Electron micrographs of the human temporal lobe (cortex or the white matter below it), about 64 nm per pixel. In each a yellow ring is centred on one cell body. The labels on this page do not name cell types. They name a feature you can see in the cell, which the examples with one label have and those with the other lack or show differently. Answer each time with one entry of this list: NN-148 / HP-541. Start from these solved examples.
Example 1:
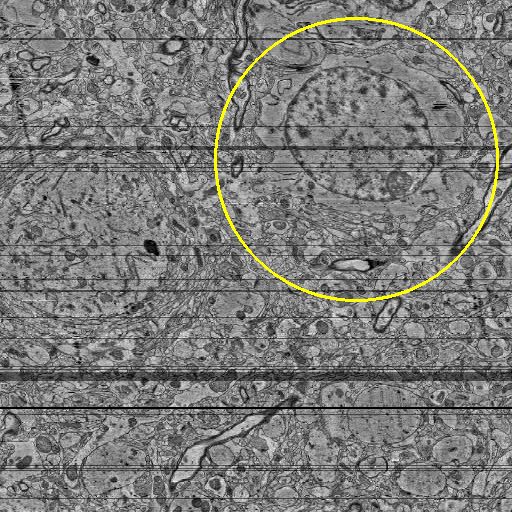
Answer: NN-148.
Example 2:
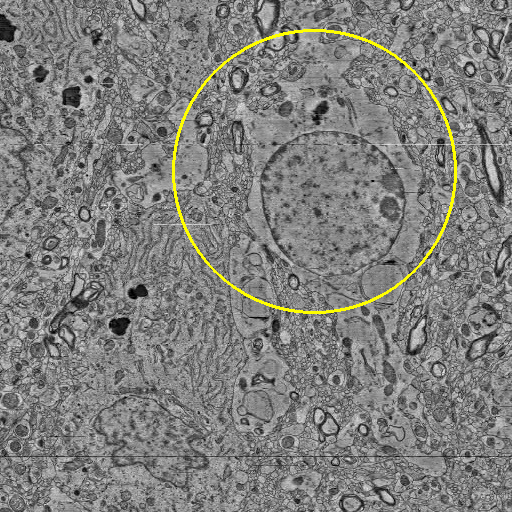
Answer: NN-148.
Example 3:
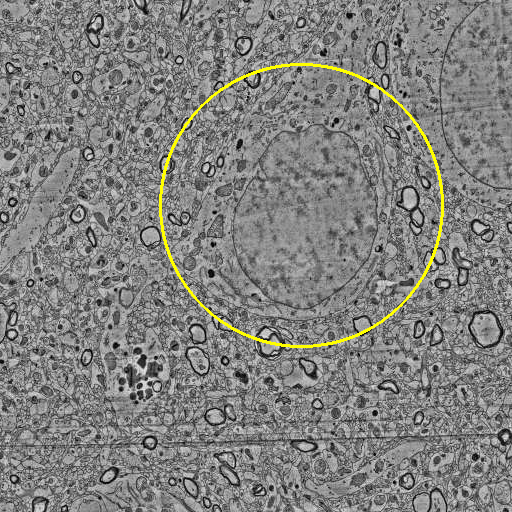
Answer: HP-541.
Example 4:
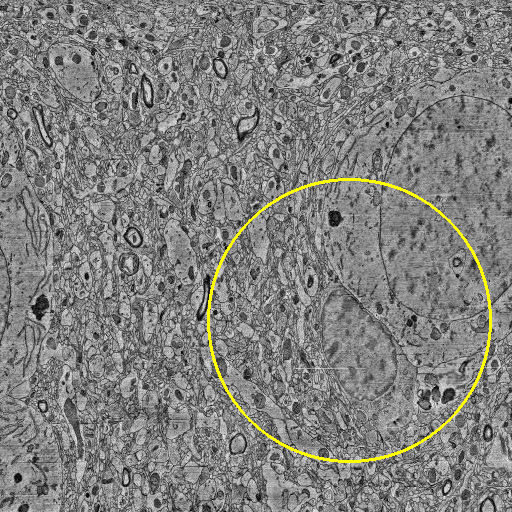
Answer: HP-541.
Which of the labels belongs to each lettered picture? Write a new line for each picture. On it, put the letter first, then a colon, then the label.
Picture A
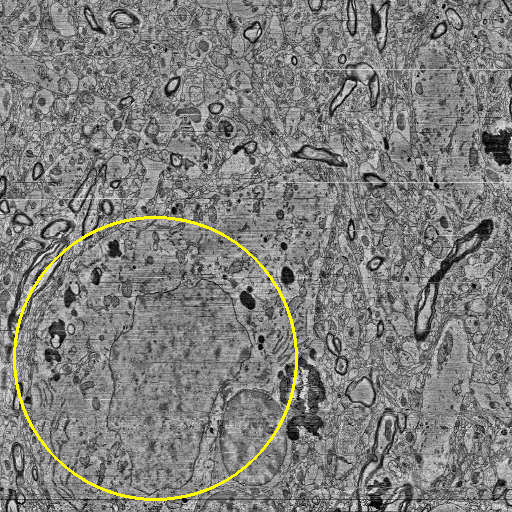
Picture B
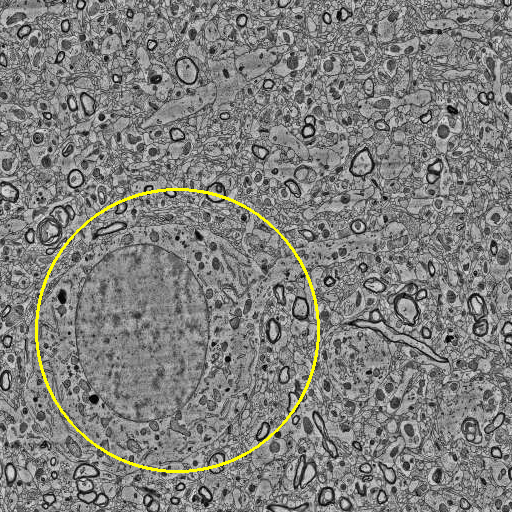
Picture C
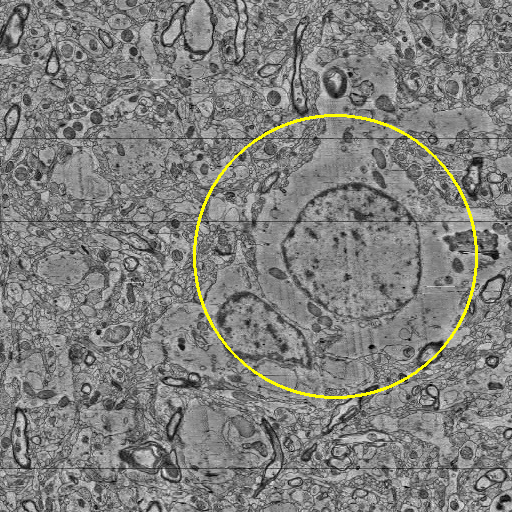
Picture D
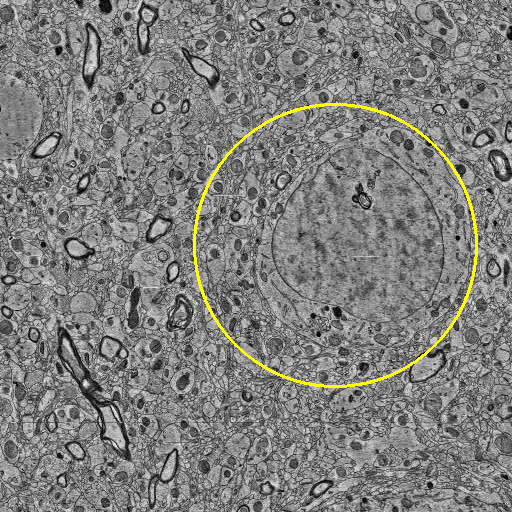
A: HP-541.
B: HP-541.
C: HP-541.
D: HP-541.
